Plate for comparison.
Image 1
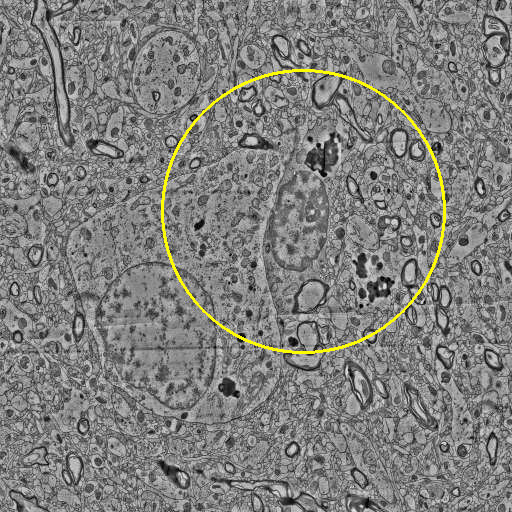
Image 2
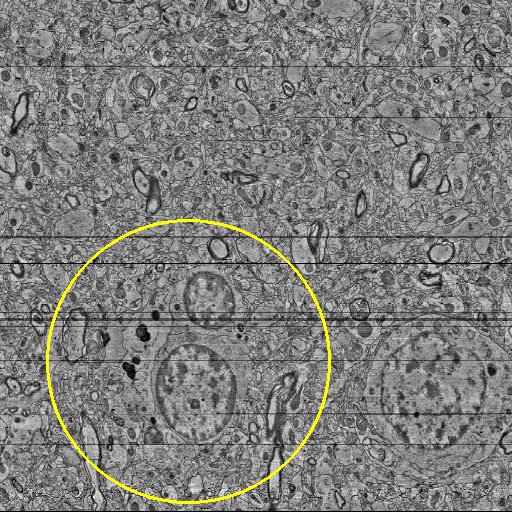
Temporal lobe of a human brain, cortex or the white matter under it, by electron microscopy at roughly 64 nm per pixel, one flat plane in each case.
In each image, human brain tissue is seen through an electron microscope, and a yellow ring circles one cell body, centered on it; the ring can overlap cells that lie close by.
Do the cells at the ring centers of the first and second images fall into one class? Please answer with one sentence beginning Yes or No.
Yes, the first and second images show a single class of cell at the ring centers.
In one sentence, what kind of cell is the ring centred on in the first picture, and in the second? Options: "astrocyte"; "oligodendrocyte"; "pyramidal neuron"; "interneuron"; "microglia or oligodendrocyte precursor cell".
Both cells are the same kind, each one being an oligodendrocyte.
